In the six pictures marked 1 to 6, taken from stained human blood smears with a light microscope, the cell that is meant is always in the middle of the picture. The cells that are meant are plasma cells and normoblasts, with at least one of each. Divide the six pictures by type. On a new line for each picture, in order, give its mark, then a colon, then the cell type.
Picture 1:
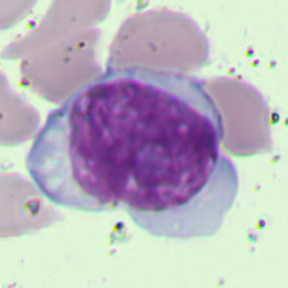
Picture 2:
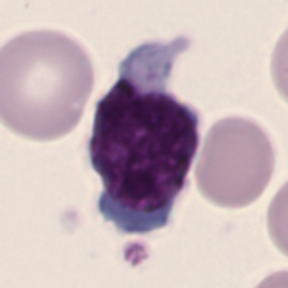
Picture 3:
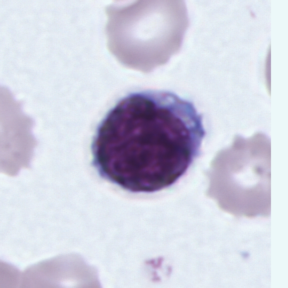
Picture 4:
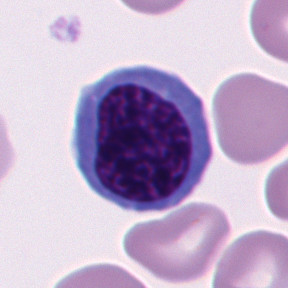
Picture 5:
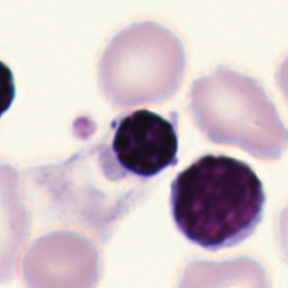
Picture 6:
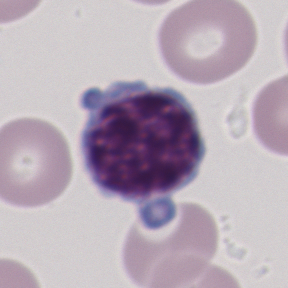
1: plasma cell
2: plasma cell
3: plasma cell
4: normoblast
5: normoblast
6: normoblast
